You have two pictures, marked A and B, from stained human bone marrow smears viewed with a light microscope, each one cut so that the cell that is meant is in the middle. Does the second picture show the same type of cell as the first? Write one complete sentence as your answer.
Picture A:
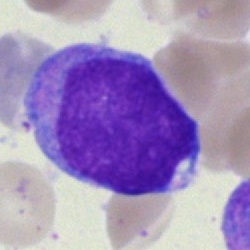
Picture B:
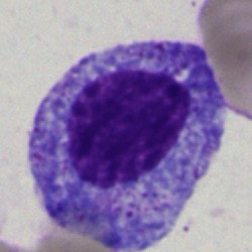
No, the types are not the same, since picture A shows a blast and picture B a promyelocyte.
